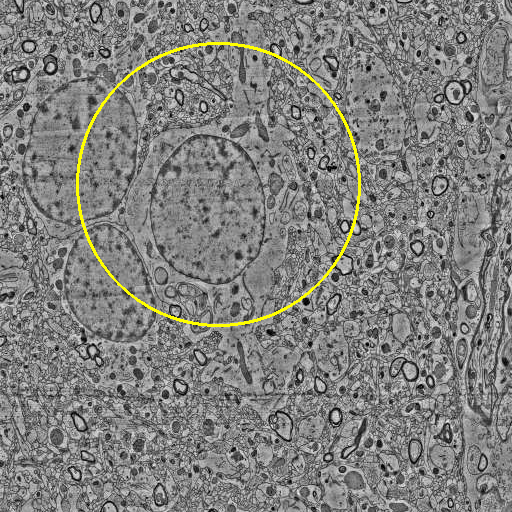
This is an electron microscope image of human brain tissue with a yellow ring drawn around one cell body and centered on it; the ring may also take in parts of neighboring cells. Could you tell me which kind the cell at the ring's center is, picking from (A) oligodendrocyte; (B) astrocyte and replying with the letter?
B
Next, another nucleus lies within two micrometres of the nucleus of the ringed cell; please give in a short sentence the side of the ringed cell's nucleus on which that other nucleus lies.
The other one lies to the lower left of it.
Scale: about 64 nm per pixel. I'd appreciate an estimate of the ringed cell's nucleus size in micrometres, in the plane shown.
The nucleus has a long axis of about 9 micrometres and a short axis of about 7 micrometres in this plane.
